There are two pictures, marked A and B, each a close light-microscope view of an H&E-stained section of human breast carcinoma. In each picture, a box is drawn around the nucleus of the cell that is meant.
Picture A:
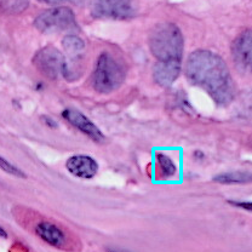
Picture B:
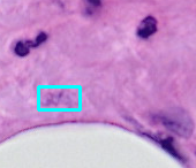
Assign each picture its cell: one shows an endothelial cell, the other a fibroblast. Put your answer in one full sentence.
Picture B shows a fibroblast, while picture A shows an endothelial cell.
